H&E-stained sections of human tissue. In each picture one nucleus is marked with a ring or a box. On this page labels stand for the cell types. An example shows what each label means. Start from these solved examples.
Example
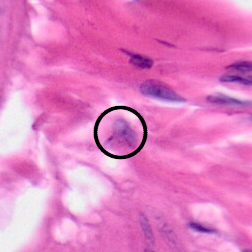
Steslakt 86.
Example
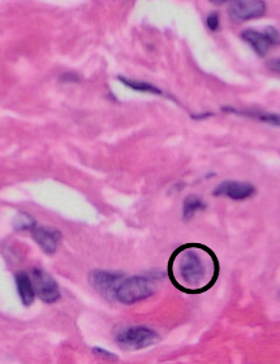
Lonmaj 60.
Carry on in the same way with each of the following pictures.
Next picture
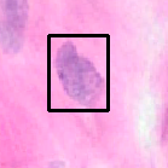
Steslakt 86.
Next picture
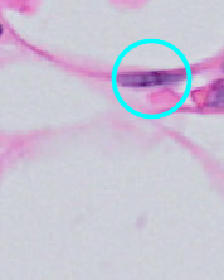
Lonmaj 60.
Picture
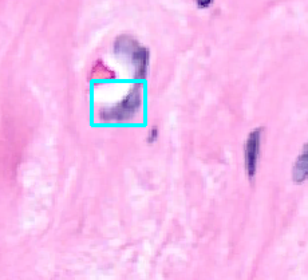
Lonmaj 60.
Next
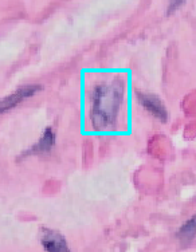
Lonmaj 60.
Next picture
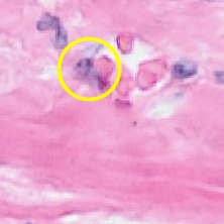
Lonmaj 60.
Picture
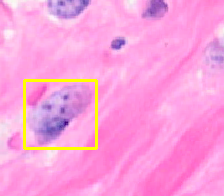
Lonmaj 60.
